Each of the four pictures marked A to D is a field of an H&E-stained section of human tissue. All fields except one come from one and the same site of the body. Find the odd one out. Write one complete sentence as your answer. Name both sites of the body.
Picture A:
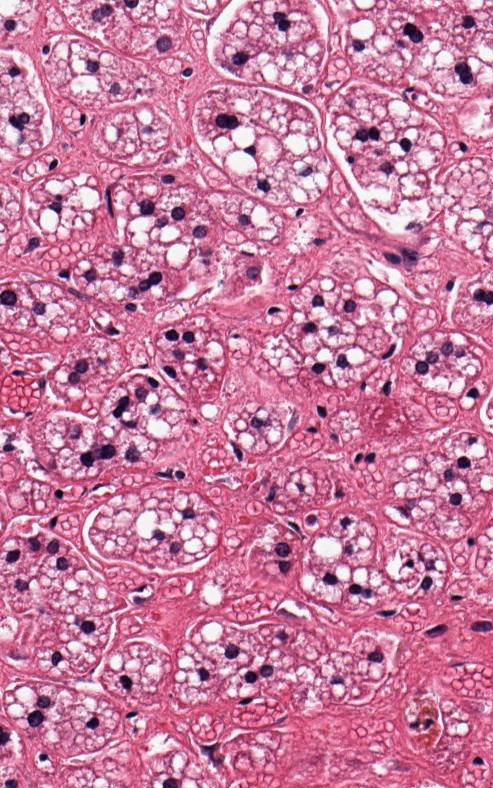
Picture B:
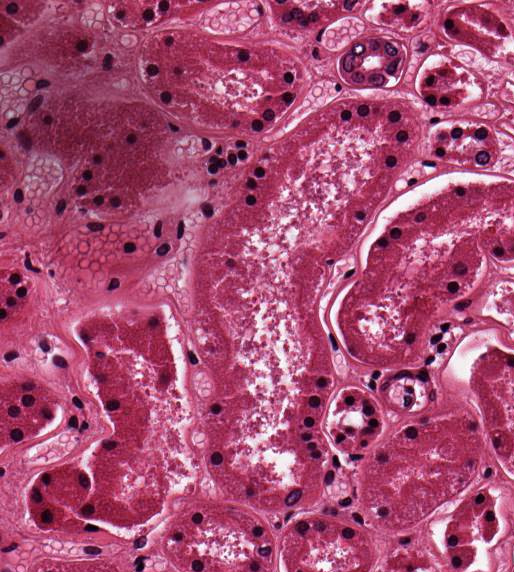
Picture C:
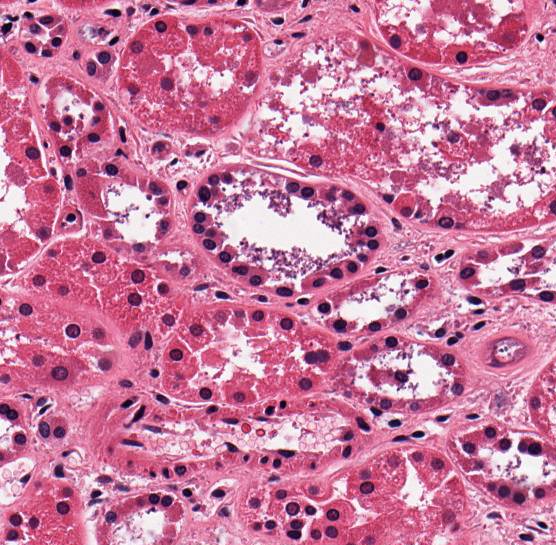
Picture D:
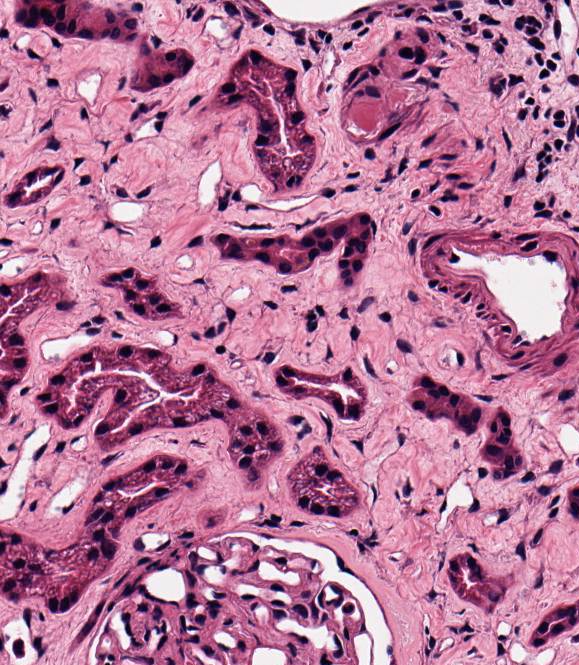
Unlike the rest, which come from the renal cortex, picture A comes from the adrenal gland.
